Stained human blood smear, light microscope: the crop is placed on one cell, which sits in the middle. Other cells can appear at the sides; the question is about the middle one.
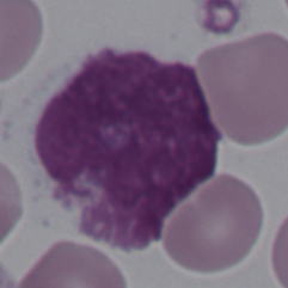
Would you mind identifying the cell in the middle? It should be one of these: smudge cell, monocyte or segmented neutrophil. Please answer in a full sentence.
The cell the crop is centered on is a smudge cell.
